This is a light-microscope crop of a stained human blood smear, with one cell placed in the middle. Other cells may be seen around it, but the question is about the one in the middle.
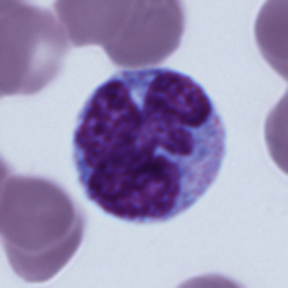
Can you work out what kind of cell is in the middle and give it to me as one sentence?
Occupying the centre of the crop is a monocyte.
